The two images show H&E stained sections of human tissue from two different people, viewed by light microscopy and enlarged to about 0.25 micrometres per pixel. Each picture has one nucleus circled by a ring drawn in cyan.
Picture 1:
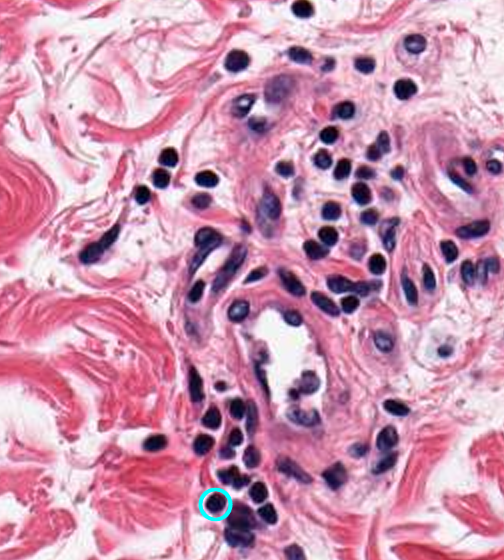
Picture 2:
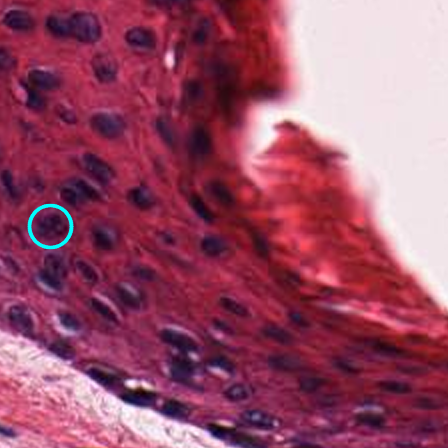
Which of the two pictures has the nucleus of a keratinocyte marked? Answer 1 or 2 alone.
2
